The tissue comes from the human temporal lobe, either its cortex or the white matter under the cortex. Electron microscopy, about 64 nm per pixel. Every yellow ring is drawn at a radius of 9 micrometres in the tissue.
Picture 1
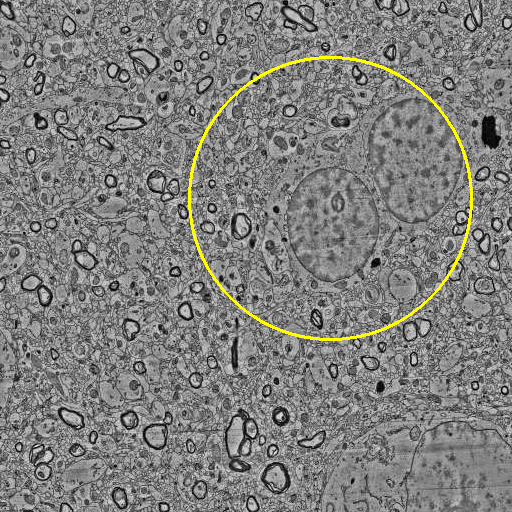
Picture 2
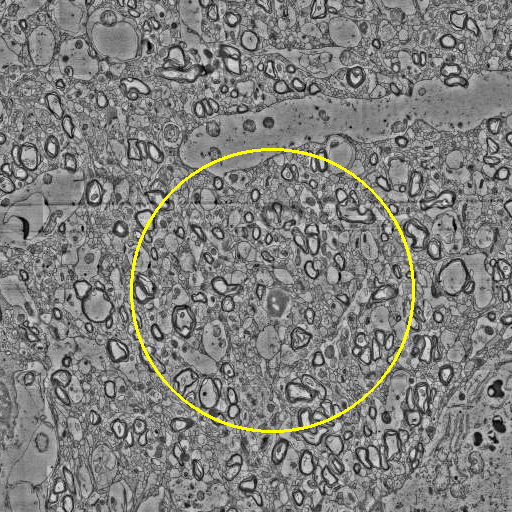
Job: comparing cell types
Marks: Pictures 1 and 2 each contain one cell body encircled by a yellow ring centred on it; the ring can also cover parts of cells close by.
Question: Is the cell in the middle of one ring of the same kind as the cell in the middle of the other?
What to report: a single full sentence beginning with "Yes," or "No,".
No, the cell at the ring centre in Picture 1 and its partner in Picture 2 are of two kinds.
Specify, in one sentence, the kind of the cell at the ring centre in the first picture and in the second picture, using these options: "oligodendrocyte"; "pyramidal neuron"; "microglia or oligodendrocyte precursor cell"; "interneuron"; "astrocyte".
So the first is an oligodendrocyte, the second a microglial cell or oligodendrocyte precursor cell.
